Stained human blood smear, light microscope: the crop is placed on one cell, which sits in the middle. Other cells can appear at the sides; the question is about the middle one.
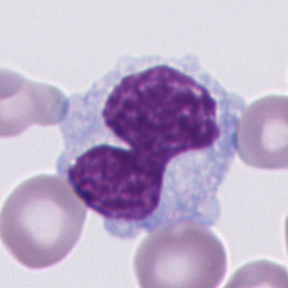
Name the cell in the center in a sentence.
Present in the middle of the crop is a monocyte.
